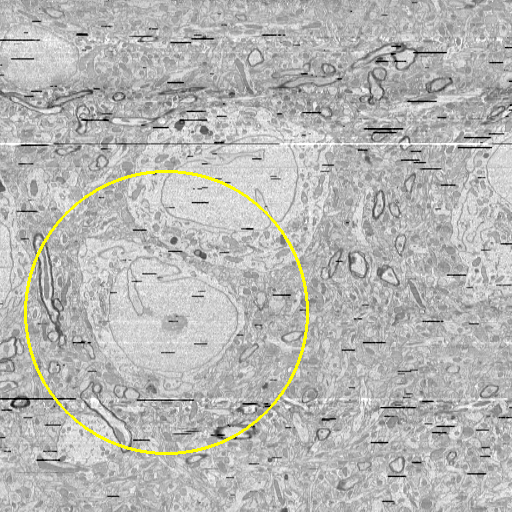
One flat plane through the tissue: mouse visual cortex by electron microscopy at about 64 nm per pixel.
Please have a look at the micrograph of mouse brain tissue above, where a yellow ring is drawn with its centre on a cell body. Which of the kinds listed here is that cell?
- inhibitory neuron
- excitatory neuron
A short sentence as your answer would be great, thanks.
At the centre of the ring sits an inhibitory neuron.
